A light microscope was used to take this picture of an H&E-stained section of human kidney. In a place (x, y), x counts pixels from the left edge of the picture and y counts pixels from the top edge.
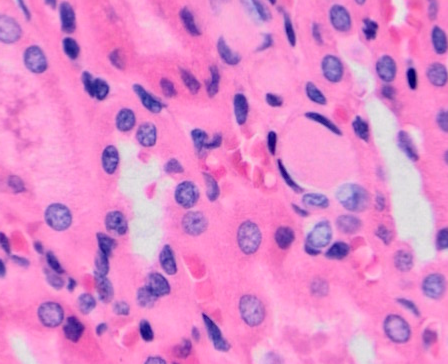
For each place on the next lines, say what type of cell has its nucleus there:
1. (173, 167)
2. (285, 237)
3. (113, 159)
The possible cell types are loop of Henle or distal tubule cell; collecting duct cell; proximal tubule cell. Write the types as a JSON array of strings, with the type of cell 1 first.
["loop of Henle or distal tubule cell", "proximal tubule cell", "loop of Henle or distal tubule cell"]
